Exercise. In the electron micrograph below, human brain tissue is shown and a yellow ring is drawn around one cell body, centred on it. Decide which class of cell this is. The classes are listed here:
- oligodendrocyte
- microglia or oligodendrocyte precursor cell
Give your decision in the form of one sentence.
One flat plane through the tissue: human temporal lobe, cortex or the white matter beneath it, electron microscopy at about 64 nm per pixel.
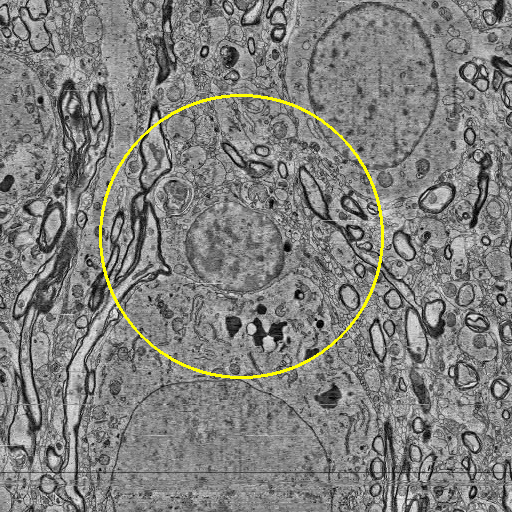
The cell body marked by the ring belongs to an oligodendrocyte.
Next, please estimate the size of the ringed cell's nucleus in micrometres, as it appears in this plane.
Roughly 6 micrometres across, measured in this plane.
